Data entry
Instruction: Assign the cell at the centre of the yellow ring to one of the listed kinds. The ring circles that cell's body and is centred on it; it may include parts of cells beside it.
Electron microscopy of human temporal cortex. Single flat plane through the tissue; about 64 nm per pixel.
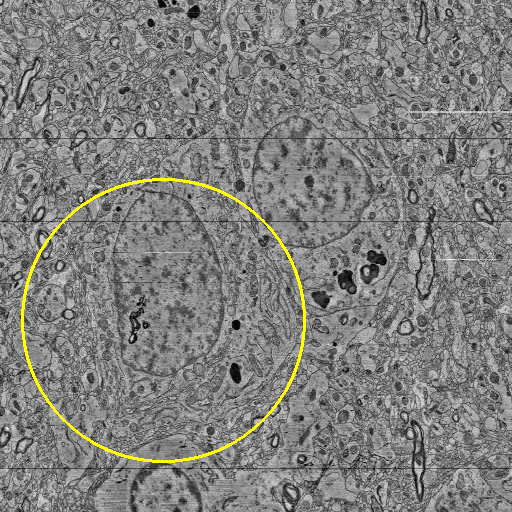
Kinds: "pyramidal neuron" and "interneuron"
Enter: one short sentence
The centre of the ring falls on an interneuron.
